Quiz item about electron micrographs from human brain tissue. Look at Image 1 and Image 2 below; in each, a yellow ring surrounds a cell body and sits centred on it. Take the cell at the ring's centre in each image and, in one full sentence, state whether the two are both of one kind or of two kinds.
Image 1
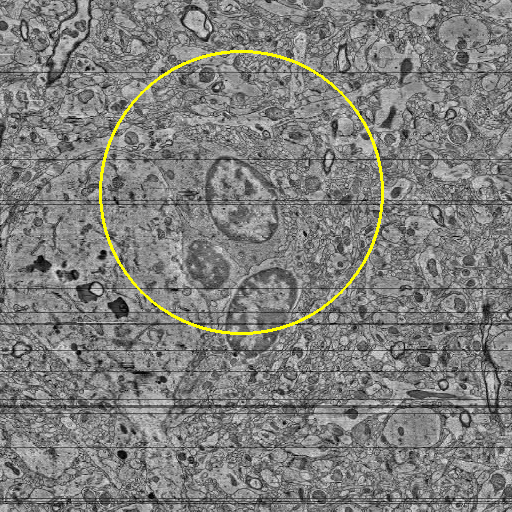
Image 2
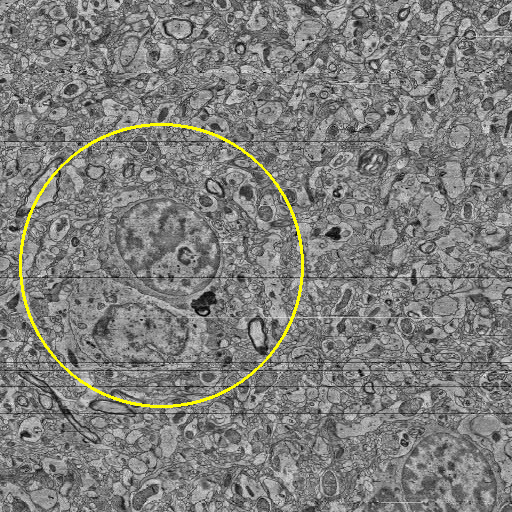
In Image 1 and Image 2, the cells at the ring centres are both of one kind.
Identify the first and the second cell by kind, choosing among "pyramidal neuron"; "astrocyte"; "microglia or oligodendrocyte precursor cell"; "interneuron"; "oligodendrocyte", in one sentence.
Each of the two rings is centred on an oligodendrocyte.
